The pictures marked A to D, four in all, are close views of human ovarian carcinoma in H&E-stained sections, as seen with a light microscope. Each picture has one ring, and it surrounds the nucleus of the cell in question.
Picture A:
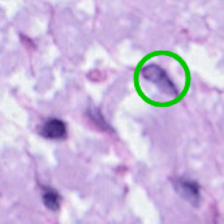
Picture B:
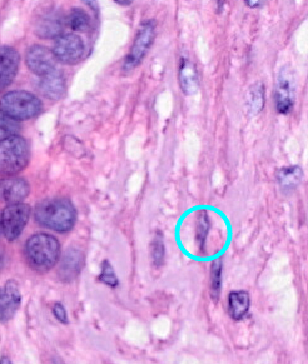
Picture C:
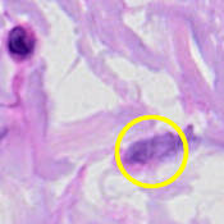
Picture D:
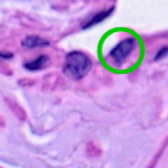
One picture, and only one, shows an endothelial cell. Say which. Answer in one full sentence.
It is picture D that shows the endothelial cell.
